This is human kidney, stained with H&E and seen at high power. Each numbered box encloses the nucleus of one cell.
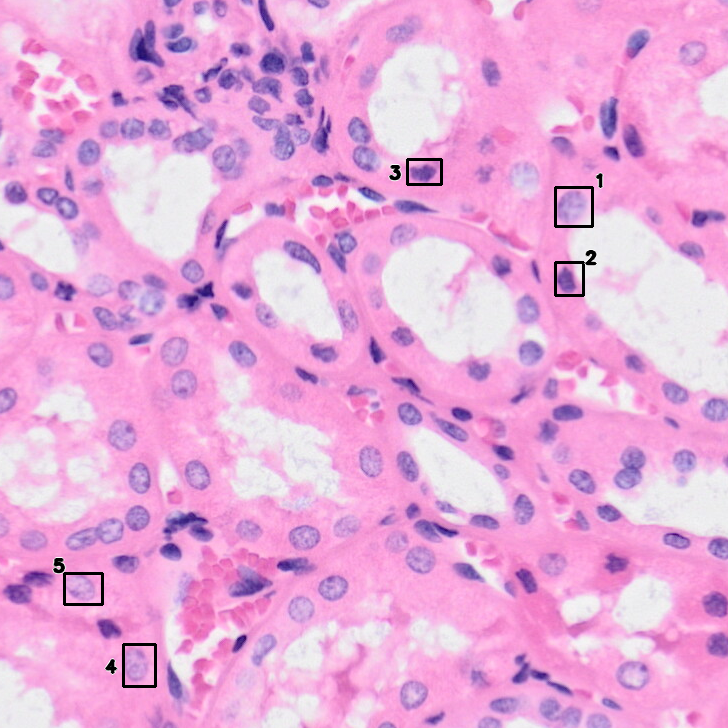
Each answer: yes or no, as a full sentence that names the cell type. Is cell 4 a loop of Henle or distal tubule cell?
No, cell 4 is not a loop of Henle or distal tubule cell; a proximal tubule cell is correct.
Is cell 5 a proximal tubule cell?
Yes, the cell sitting at number 5 is a proximal tubule cell.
